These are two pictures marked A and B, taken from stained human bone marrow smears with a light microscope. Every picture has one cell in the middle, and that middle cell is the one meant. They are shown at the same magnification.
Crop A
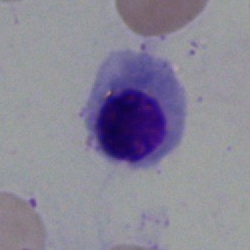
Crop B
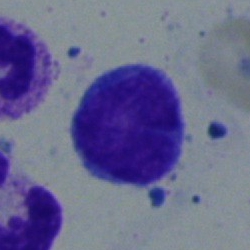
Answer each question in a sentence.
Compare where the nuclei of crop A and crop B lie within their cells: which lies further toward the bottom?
It is the nucleus in crop A that lies further toward the bottom of its cell.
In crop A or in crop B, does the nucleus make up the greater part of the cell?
Of the two, the nucleus in crop B makes up the greater part of its cell.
